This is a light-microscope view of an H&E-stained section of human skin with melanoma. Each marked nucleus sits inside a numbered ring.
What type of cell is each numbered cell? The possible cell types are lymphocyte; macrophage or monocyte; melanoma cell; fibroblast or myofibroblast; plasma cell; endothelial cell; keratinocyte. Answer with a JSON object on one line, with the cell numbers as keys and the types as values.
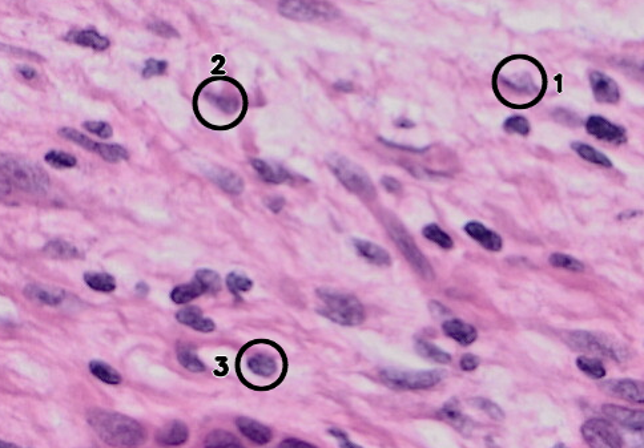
{"1": "fibroblast or myofibroblast", "2": "fibroblast or myofibroblast", "3": "lymphocyte"}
